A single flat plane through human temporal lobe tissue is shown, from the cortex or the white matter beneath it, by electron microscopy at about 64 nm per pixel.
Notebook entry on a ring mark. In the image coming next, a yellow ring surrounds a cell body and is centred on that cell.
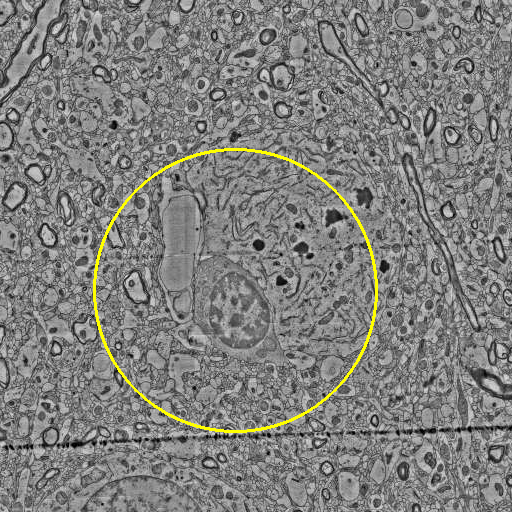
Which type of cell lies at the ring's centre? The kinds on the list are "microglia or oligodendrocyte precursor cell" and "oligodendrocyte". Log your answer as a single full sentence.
Centred in the yellow ring is an oligodendrocyte, the cell recorded for this image.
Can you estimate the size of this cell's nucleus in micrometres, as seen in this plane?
The nucleus comes to roughly 5 by 4 micrometres in this plane.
